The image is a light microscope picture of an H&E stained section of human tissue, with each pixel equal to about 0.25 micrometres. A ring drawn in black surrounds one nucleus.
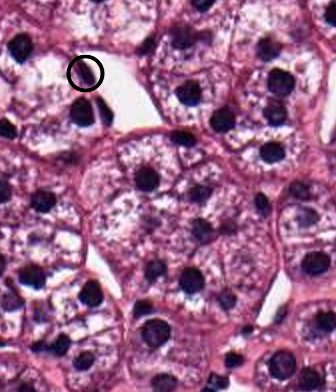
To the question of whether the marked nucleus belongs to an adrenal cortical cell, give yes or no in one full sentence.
No, it is not an adrenal cortical cell but a supporting cell to which the marked nucleus is assigned.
